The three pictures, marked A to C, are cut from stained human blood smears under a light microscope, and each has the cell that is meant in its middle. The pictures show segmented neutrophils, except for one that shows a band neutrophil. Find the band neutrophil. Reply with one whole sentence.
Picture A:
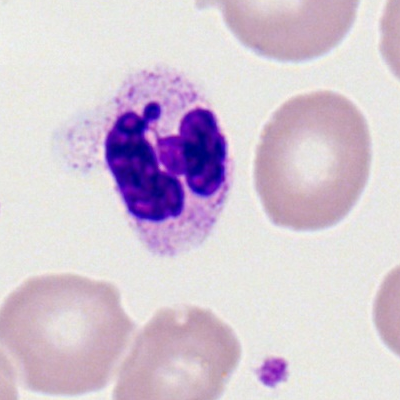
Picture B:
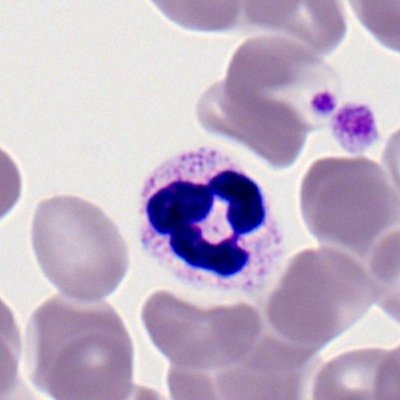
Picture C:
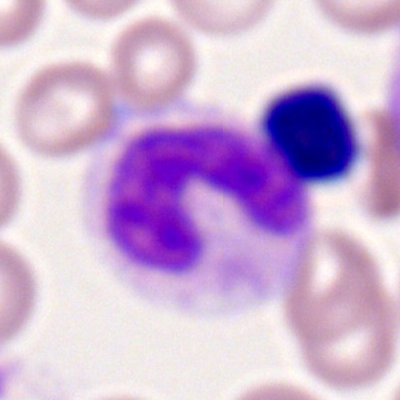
The picture with the band neutrophil is C.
